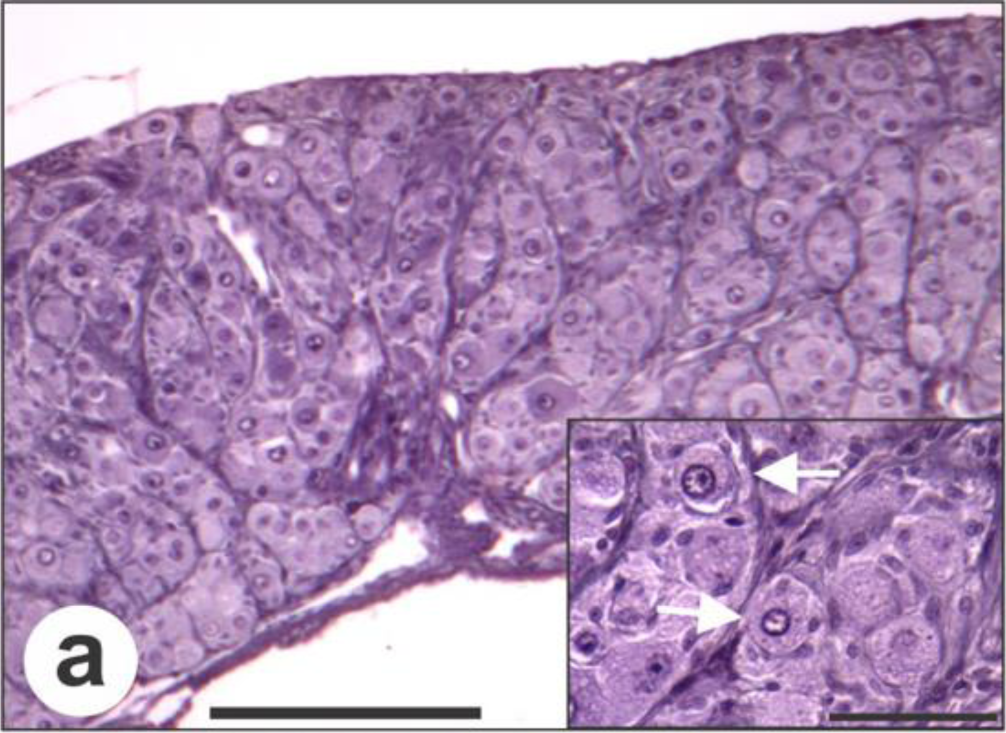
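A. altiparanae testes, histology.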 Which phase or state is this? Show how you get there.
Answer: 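The tissue is filled with nests of large germ cells separated by thin connective strands. No lumina filled with spermatozoa are seen. On this evidence: Immature.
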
